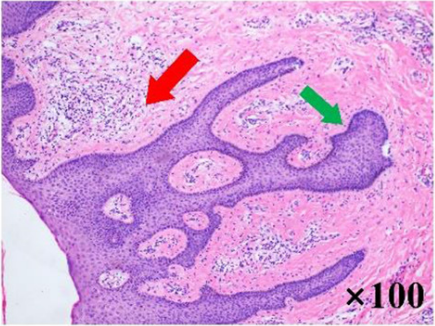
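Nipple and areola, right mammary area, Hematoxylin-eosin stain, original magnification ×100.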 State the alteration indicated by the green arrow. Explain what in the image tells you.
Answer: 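The purple squamous epithelium forms long, branching downward projections into the dermis. The epithelial ridges are thick and elongated. The answer: epidermal hyperplasia.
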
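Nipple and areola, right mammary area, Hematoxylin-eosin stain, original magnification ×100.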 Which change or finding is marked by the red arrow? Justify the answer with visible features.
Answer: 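Immune cell infiltration. A dense cluster of small, dark-purple round nuclei lies in the pink dermis. The cluster sits beneath the epithelium, among the collagen.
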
